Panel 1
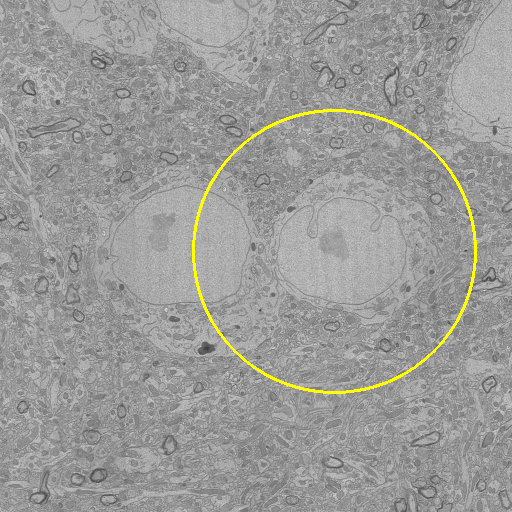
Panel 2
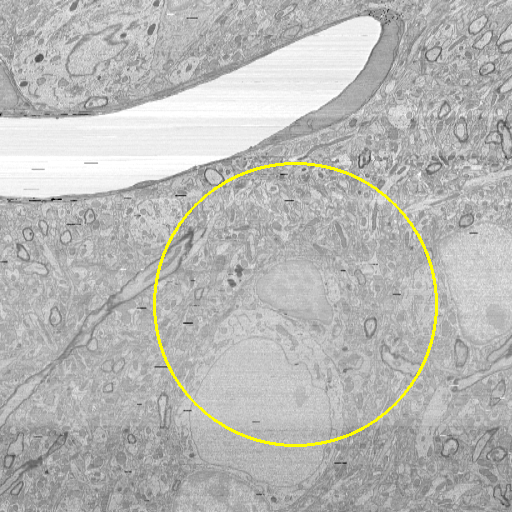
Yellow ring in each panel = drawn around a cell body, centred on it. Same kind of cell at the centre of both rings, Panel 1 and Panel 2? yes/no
no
